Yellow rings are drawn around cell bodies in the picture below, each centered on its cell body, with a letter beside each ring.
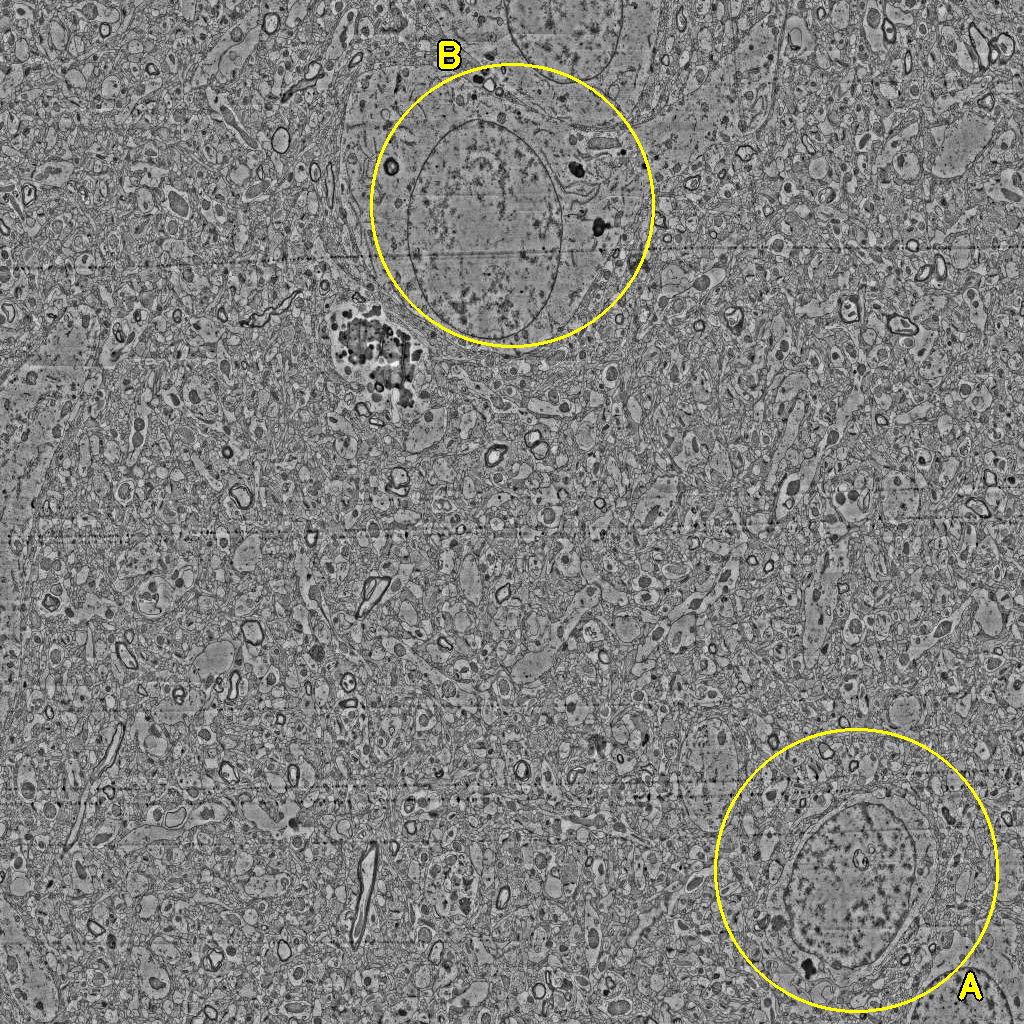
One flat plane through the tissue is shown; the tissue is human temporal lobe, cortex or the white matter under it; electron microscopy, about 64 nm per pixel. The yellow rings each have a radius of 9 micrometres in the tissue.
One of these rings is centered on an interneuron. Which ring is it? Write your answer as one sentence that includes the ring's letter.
It is ring A.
